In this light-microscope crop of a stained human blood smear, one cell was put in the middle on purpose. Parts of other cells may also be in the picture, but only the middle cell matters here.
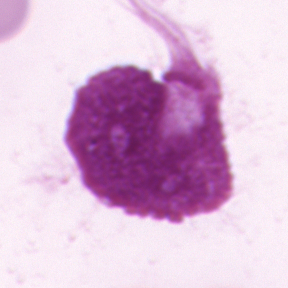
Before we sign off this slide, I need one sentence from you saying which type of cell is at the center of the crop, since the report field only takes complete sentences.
The cell found in the middle of this crop is a smudge cell.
